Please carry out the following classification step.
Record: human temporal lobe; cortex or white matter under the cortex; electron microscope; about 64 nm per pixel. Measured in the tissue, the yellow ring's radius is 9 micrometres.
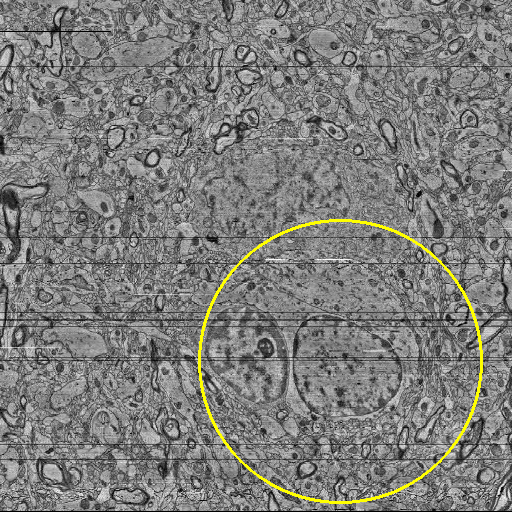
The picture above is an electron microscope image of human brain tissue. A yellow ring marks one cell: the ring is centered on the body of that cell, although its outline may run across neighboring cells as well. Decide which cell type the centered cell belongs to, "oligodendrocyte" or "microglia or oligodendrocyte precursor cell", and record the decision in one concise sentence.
The cell centered in the yellow ring is a microglial cell or oligodendrocyte precursor cell.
